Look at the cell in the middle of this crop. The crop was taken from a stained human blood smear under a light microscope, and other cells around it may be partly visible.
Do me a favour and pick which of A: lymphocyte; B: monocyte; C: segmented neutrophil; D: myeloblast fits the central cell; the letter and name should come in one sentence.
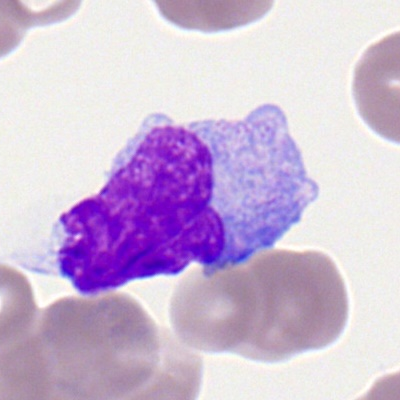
Option B is right, the centrally situated cell being a monocyte.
